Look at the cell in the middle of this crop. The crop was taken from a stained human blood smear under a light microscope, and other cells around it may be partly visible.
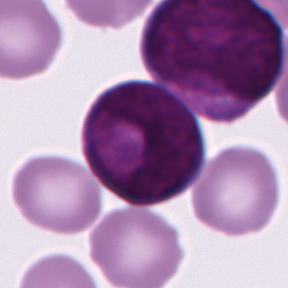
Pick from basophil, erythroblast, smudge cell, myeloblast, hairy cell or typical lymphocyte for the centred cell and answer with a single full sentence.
The cell in the exact centre of the crop is a myeloblast.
